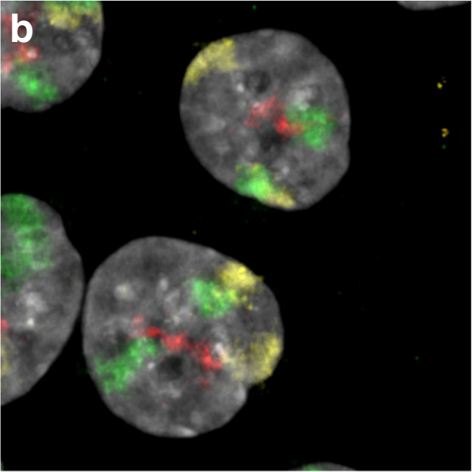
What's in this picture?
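Two round to oval nuclei with even gray chromatin, darker rounded areas and small bright foci. Each contains compact colored domains: yellow patches near the nuclear rim, green patches at periphery and interior, and red domains toward the centre, some appearing as clustered fragments. Territories of different colours sometimes touch but stay distinct. Parts of neighbouring nuclei appear at the edges.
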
